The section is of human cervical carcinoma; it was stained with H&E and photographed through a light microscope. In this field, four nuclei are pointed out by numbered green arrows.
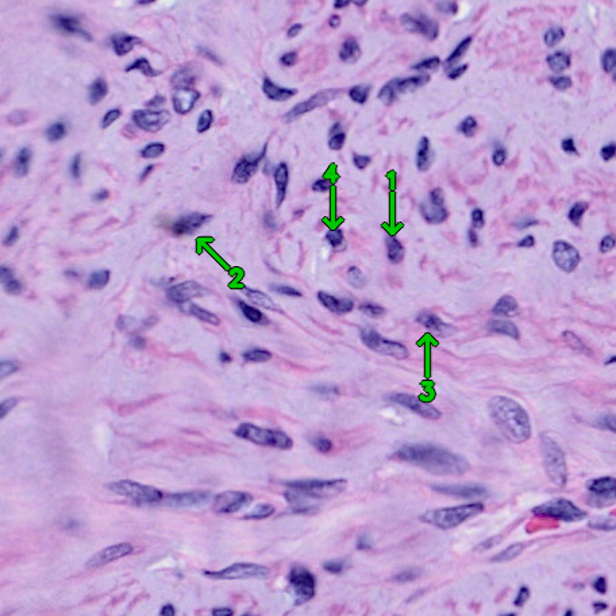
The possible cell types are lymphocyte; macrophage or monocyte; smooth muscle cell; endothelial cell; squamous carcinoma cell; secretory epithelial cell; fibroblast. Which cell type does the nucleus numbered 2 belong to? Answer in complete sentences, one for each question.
The identity of cell 2 is that of a fibroblast.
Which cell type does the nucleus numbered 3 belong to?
The cell indicated with the number 3 is classed as a smooth muscle cell.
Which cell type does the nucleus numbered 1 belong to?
The cell assigned the number 1 is a smooth muscle cell.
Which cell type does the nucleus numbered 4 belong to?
It is as a smooth muscle cell that the cell numbered 4 is identified.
